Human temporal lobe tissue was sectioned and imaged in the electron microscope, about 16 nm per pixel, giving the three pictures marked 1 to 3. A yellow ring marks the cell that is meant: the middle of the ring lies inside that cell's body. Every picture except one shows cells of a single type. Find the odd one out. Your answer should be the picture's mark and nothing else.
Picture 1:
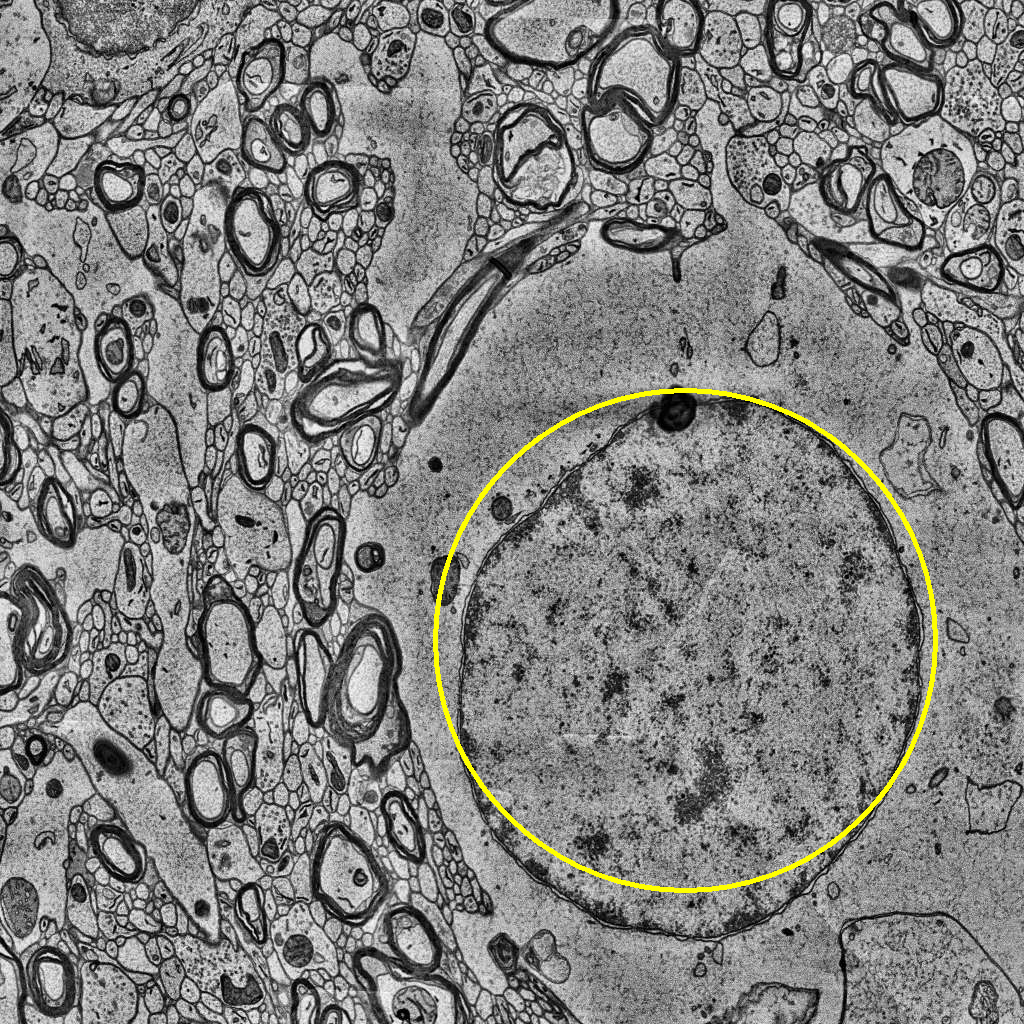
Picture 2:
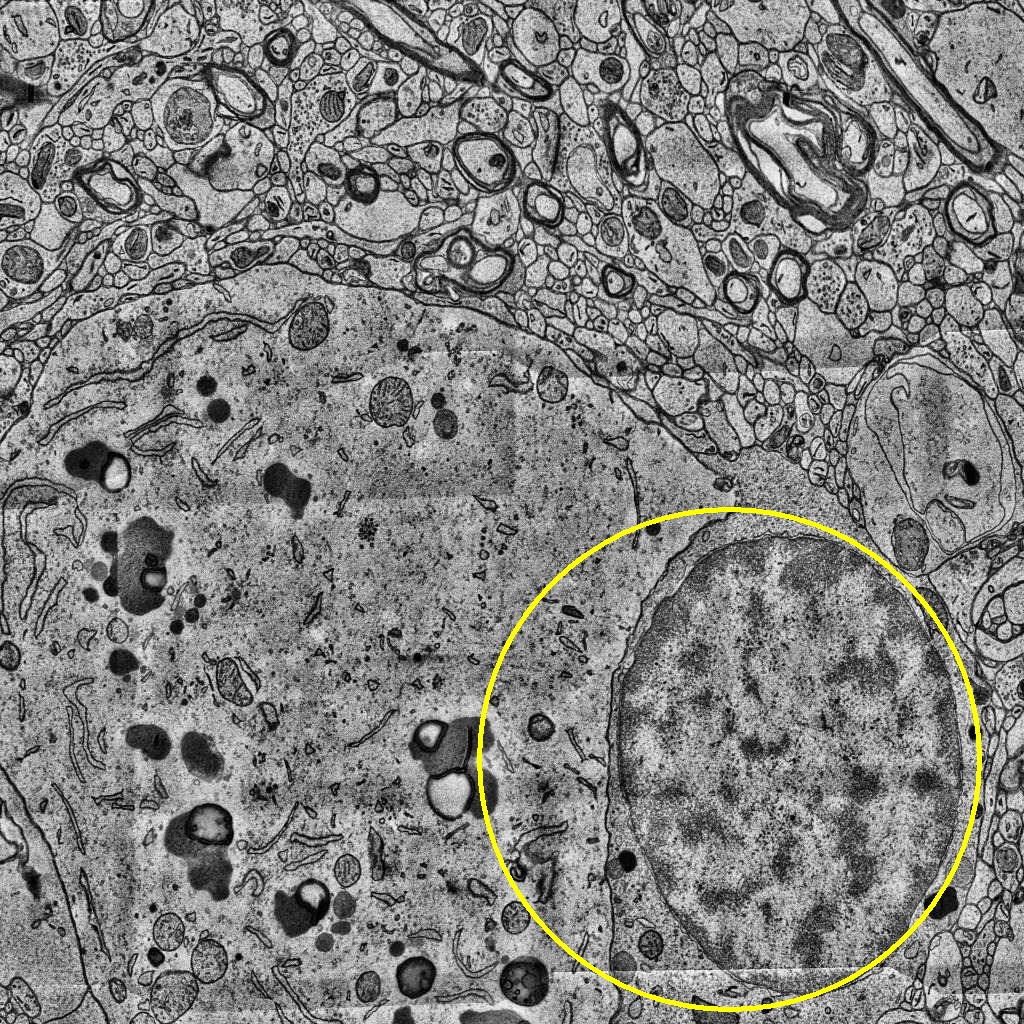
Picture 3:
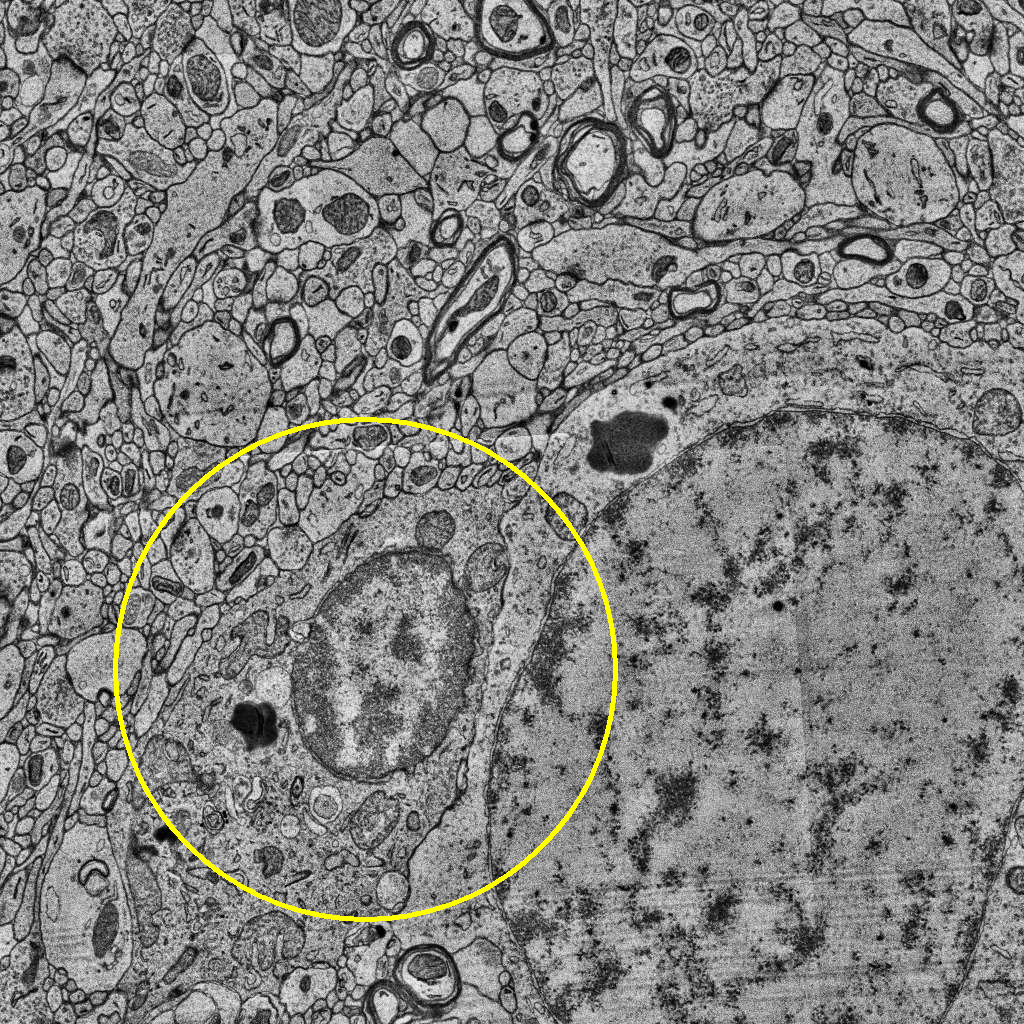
1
